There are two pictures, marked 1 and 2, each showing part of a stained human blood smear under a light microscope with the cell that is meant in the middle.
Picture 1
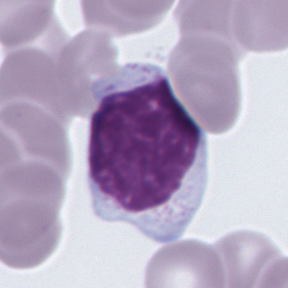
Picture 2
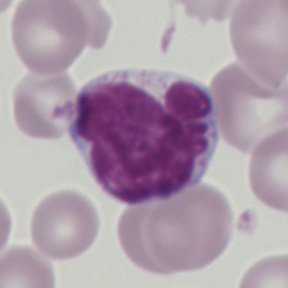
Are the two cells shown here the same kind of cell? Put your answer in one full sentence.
Yes, the two pictures both show large granular lymphocytes.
